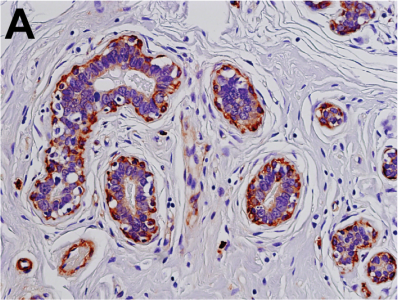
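Normal breast: ducts and small acini set in dense pale fibrous stroma with scattered spindle-shaped stromal nuclei. Brown stain is strongest in this outer myoepithelial layer, forming rings around the ducts; inner epithelial cells are mostly blue with only a few brown. Lumina are clear. Stroma is largely unstained.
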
